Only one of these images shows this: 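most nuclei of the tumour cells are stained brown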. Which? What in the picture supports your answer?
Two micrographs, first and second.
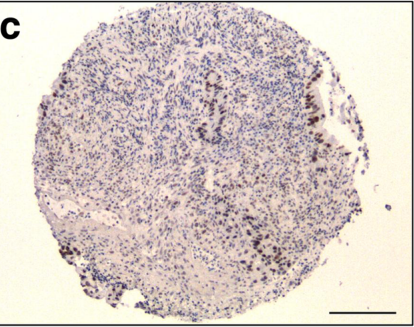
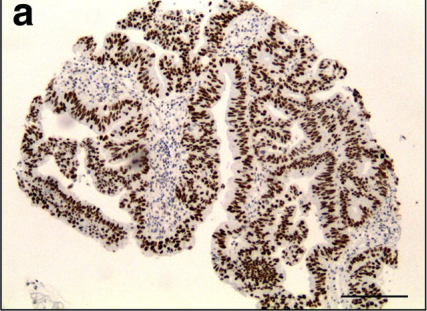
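The second image. Second image: nearly every nucleus of the epithelial fronds is dark brown. Second image: only the intervening stroma keeps pale blue nuclei.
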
